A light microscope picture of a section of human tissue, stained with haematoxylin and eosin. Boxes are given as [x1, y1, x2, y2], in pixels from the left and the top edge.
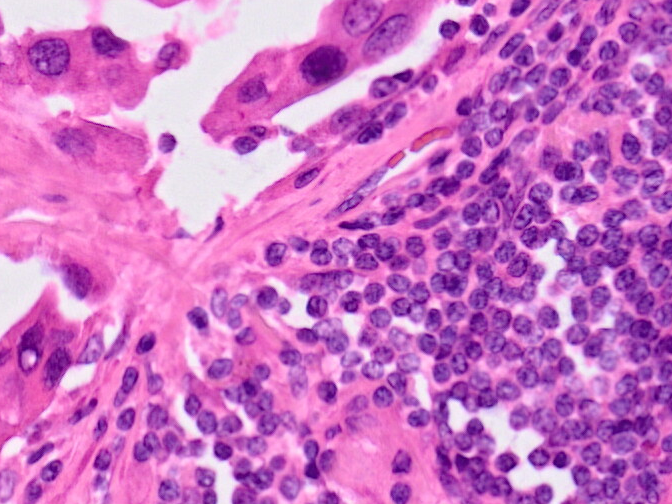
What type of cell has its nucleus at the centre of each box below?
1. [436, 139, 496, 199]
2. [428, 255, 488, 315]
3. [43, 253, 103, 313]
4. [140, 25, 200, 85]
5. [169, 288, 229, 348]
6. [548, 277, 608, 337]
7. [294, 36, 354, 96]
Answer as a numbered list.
1. lymphocyte
2. lymphocyte
3. carcinoma cell
4. macrophage or monocyte
5. lymphocyte
6. lymphocyte
7. carcinoma cell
